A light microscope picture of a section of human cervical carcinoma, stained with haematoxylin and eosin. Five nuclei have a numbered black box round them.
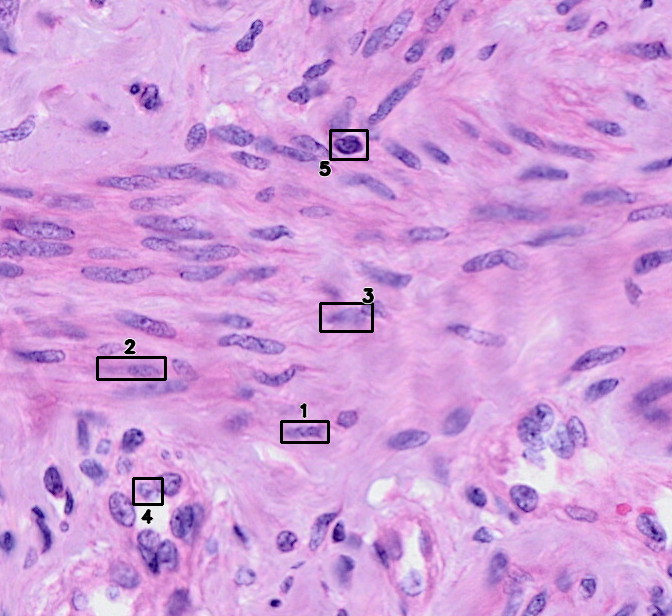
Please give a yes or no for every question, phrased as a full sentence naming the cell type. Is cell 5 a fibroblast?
No, the cell bearing the number 5 is a lymphocyte, not a fibroblast.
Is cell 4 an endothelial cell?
Yes, in this tissue section, number 4 is an endothelial cell.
